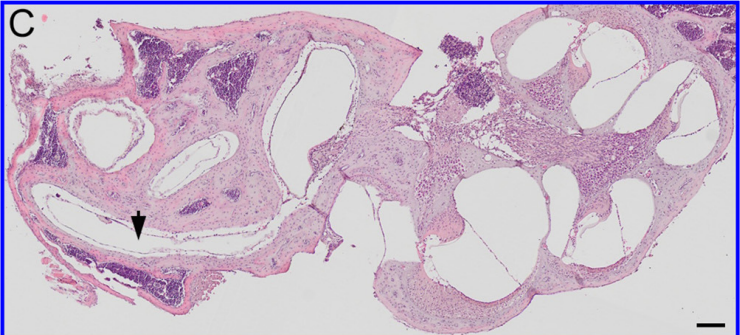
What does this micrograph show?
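A cross section through the bony labyrinth of the inner ear, stained pink, with several large clear fluid-filled spaces enclosed by bone. A long narrow channel at the left carries a thin membranous duct, and dense dark purple clusters of small cells lie within the bone between the spaces. The spaces at the right are divided by thin membranes.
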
